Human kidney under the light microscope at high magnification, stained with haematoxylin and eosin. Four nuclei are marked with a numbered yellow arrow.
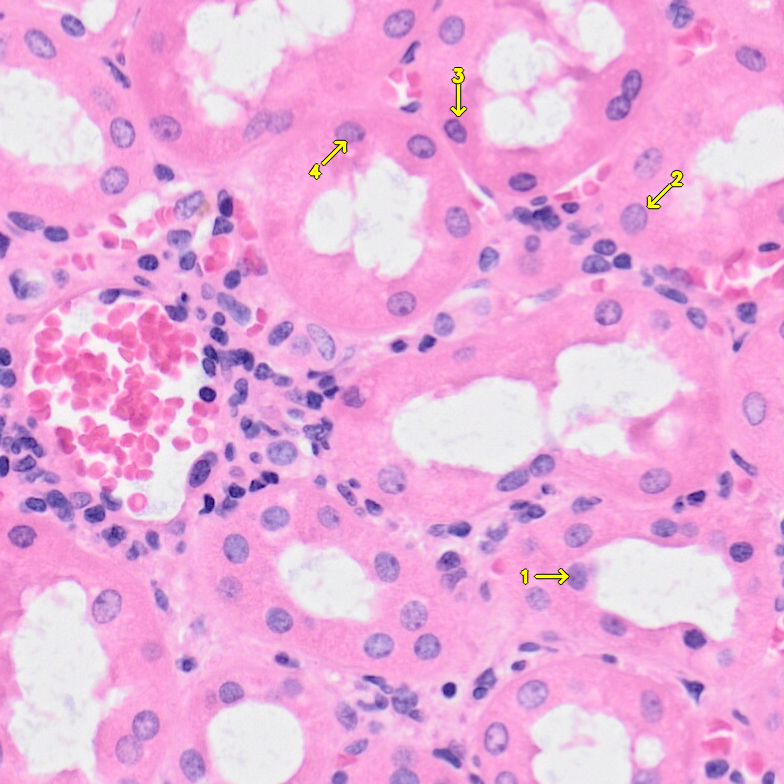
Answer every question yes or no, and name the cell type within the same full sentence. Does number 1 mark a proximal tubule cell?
No, the nucleus numbered 1 belongs to a loop of Henle or distal tubule cell, not a proximal tubule cell.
